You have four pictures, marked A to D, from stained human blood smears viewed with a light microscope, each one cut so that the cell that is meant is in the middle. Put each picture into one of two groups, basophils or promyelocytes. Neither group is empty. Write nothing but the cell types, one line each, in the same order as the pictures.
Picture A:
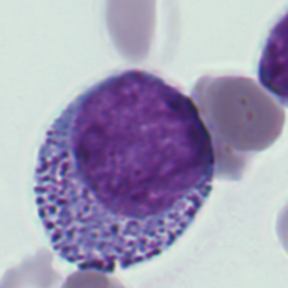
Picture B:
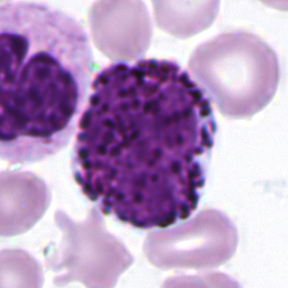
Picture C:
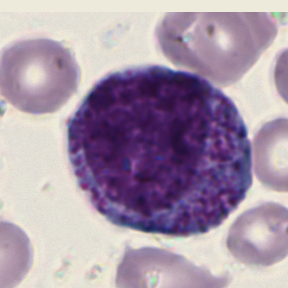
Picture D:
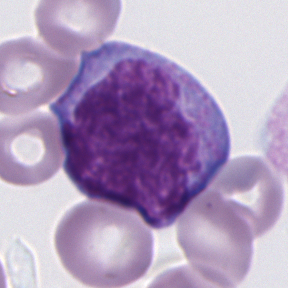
promyelocyte
basophil
promyelocyte
promyelocyte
